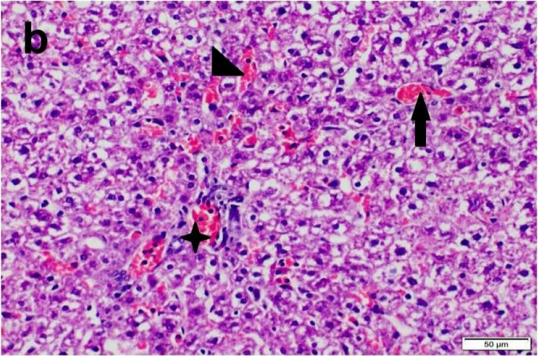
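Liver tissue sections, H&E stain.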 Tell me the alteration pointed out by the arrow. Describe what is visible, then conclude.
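The arrow points to a vessel filled with red-staining blood cells. That points to this answer: congestion.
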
